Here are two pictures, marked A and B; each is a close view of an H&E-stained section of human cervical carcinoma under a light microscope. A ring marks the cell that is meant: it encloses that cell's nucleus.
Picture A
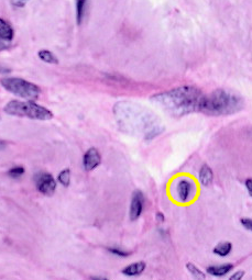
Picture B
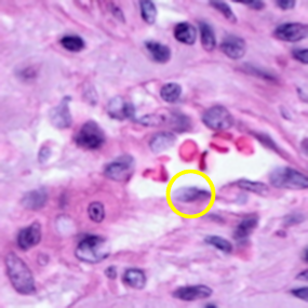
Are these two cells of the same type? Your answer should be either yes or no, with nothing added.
no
